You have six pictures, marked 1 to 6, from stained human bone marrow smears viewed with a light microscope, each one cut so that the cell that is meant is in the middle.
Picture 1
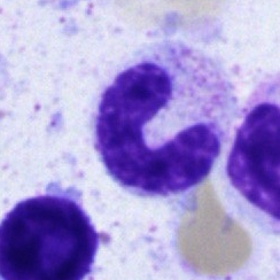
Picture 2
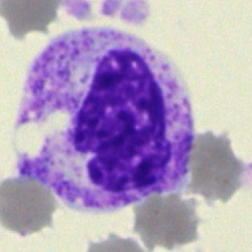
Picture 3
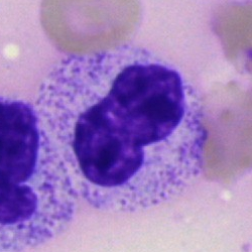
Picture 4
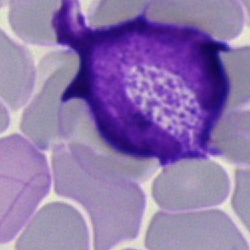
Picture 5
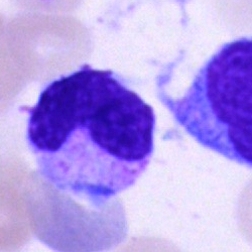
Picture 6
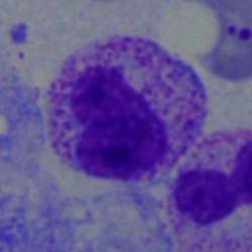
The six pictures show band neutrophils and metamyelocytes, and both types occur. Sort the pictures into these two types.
1: band neutrophil
2: metamyelocyte
3: metamyelocyte
4: band neutrophil
5: band neutrophil
6: metamyelocyte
